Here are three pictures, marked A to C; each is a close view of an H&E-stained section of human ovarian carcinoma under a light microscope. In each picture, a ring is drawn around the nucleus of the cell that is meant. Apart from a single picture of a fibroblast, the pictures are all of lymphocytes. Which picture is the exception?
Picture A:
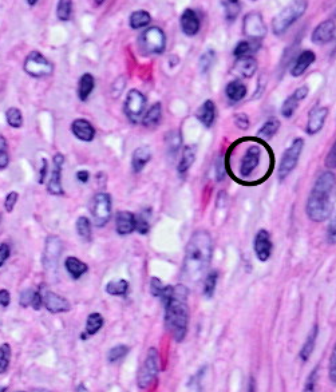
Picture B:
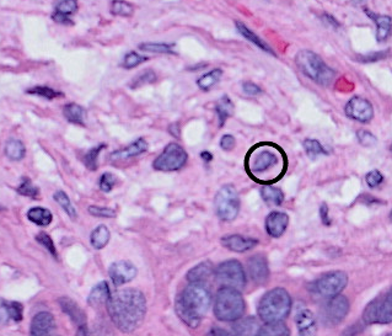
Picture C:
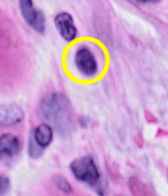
B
